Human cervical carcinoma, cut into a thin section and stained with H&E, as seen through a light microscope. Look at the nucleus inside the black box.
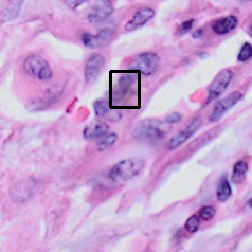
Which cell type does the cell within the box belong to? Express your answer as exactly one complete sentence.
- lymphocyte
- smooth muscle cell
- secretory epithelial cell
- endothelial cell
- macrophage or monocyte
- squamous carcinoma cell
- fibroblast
In this section, the cell within the box is an endothelial cell.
